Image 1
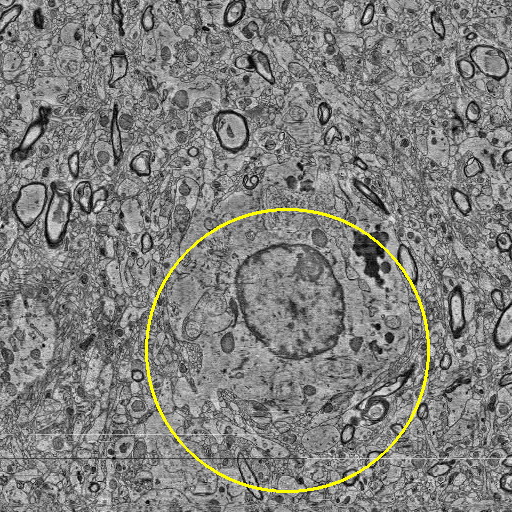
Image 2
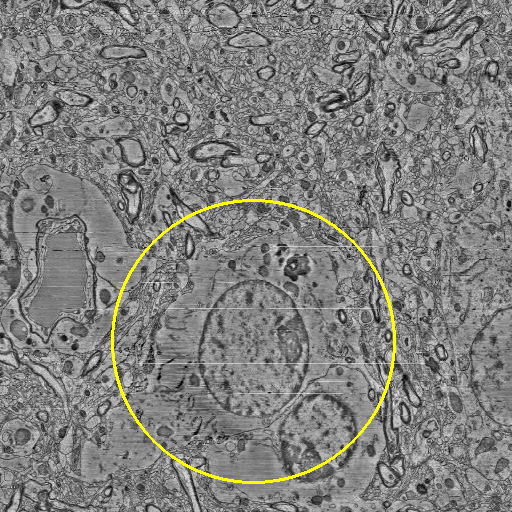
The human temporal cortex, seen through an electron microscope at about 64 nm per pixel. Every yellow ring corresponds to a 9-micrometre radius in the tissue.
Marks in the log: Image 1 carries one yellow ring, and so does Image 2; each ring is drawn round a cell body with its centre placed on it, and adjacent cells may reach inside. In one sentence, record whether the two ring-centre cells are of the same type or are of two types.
The two cells at the ring centres, one in each image, are of the same type.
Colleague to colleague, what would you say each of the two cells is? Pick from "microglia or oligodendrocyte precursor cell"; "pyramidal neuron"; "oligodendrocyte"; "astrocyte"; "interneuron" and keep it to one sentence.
In each of the two pictures, the ringed cell is an astrocyte.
